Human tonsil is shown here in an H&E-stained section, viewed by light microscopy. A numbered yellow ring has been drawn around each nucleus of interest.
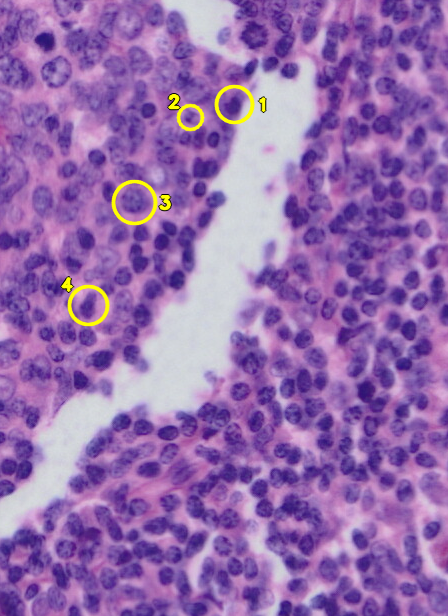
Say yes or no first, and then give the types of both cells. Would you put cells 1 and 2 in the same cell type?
Yes, the two cells marked 1 and 2 are both proliferating B cells.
